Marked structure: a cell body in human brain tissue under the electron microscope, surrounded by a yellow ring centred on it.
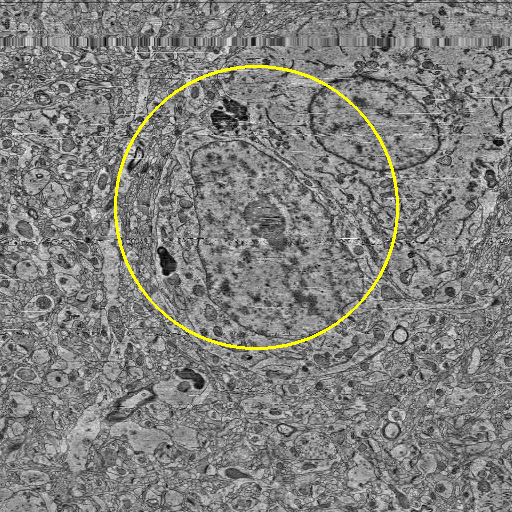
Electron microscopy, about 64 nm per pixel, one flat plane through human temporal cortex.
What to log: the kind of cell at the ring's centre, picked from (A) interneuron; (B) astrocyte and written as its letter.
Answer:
A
